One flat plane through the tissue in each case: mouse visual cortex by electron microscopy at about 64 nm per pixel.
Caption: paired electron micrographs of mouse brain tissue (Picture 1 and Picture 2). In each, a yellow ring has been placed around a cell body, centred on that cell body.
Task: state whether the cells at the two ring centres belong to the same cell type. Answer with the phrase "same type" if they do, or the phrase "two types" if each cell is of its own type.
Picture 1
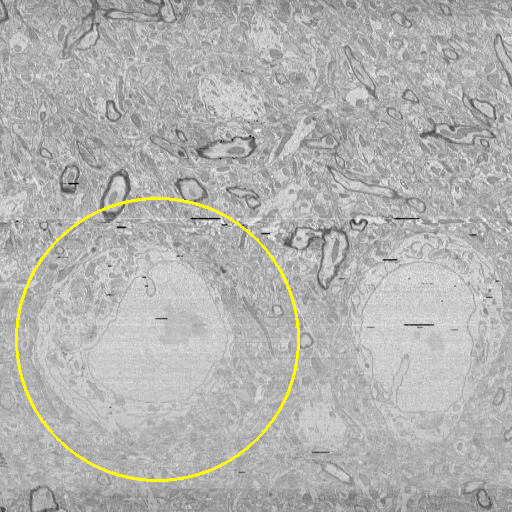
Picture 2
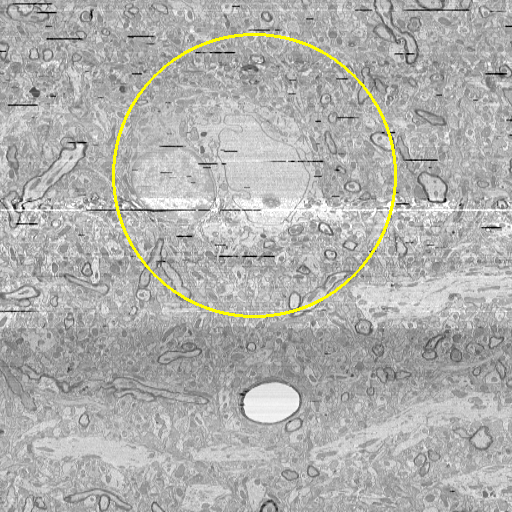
same type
